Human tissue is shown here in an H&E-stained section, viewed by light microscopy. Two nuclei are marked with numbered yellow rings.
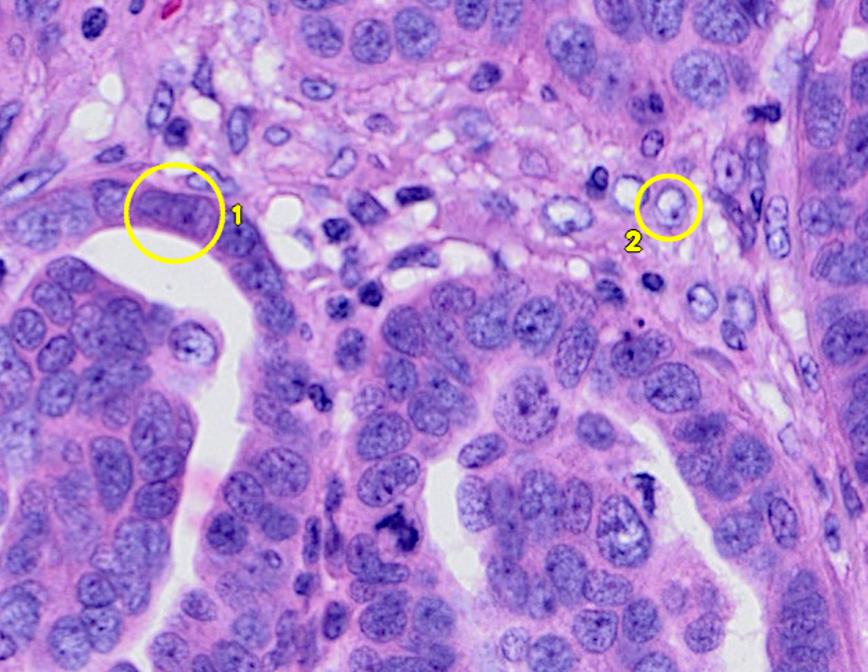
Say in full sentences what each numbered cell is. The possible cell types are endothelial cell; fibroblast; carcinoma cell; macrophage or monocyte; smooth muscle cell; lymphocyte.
Cell 1 is a carcinoma cell and cell 2 is a fibroblast.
